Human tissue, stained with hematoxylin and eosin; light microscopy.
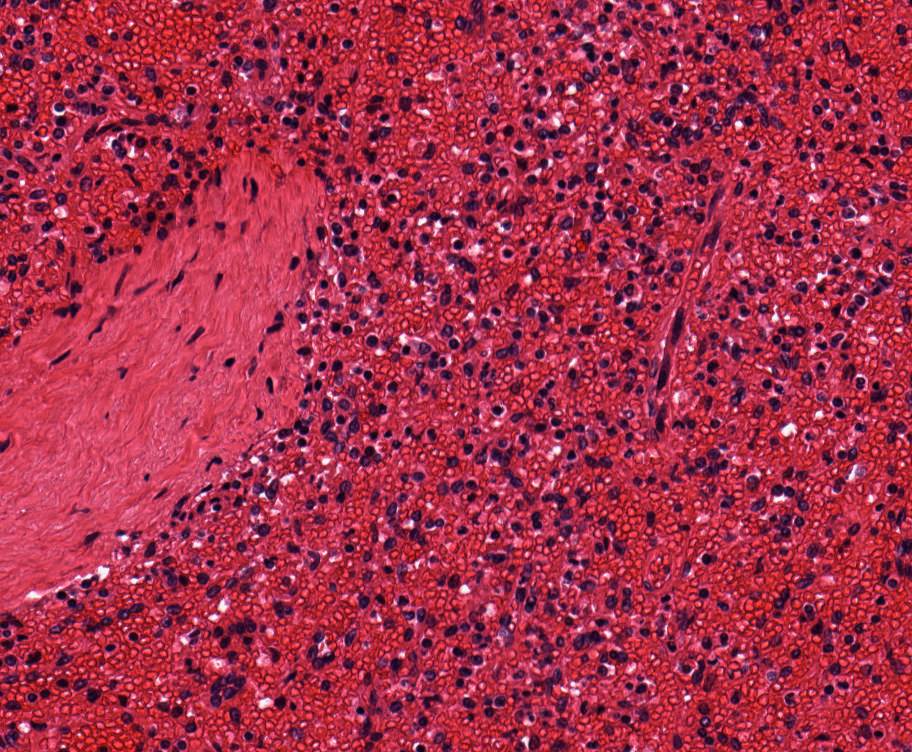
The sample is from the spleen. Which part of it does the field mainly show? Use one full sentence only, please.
In this tissue section, the part on display is red pulp.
